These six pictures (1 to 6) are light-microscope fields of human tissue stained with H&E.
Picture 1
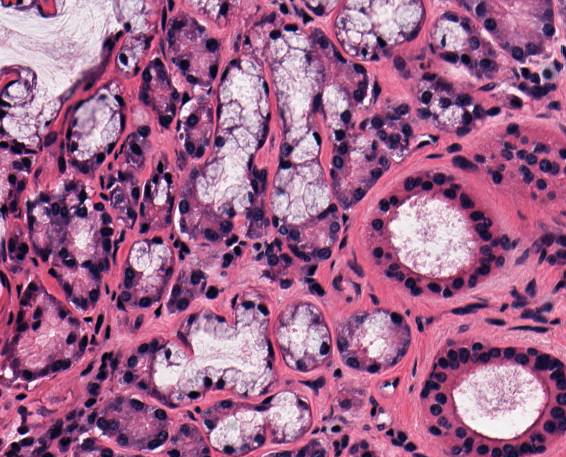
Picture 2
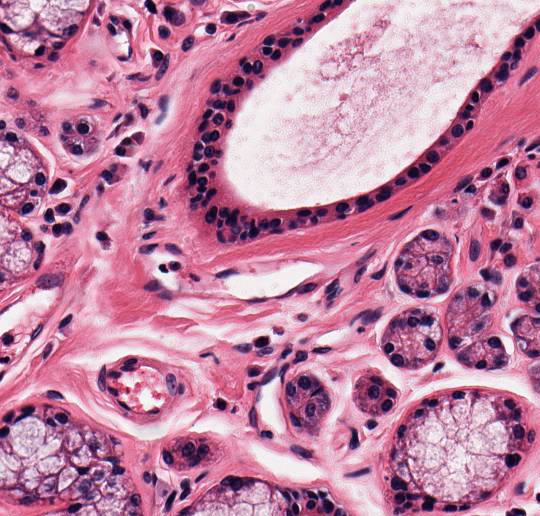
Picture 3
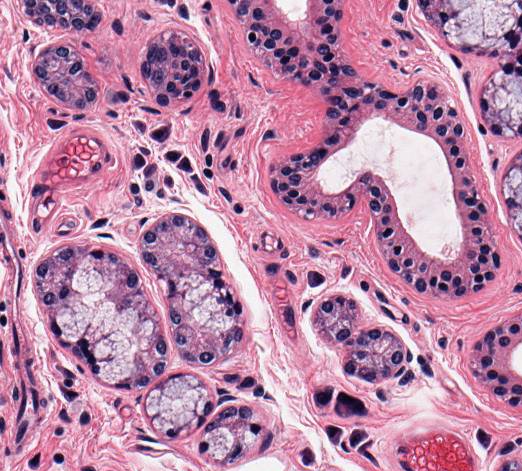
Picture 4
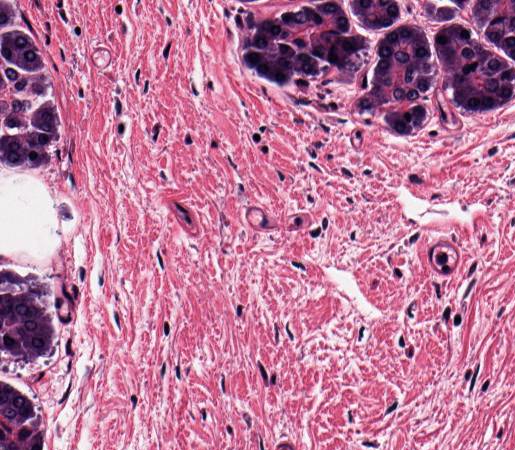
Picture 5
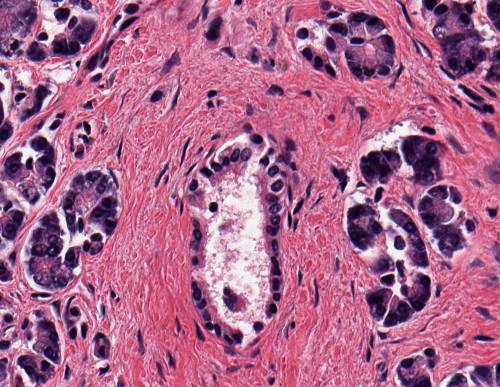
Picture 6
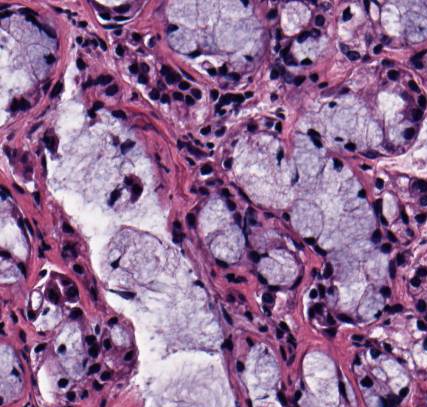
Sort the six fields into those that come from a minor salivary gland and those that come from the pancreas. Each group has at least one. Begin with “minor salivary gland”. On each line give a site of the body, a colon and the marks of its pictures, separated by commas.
minor salivary gland: 1, 2, 3, 6
pancreas: 4, 5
